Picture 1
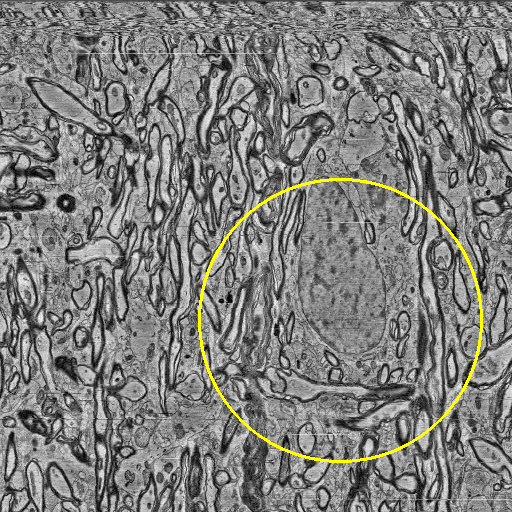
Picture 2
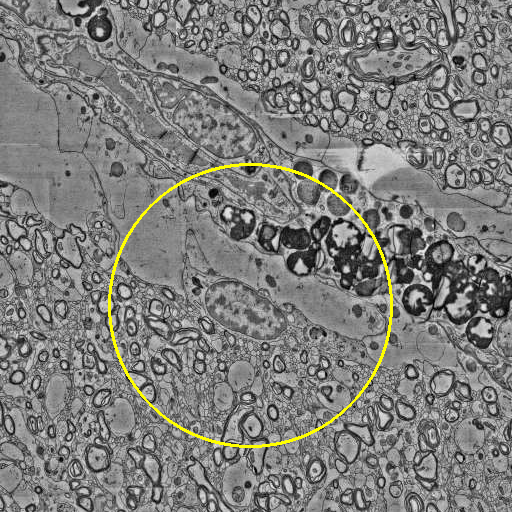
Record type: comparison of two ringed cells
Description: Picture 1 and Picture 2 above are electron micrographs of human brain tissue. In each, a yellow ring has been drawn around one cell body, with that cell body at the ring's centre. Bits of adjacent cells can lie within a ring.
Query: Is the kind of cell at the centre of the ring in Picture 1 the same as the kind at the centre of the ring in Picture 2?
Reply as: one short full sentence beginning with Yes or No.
Yes, the two ringed cells are of the same kind.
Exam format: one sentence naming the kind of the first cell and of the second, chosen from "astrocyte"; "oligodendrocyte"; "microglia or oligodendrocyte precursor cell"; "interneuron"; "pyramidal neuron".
Each one of the two ringed cells is a microglial cell or oligodendrocyte precursor cell.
